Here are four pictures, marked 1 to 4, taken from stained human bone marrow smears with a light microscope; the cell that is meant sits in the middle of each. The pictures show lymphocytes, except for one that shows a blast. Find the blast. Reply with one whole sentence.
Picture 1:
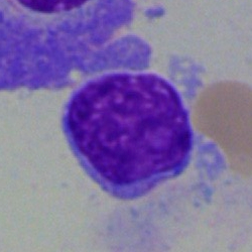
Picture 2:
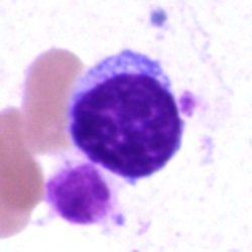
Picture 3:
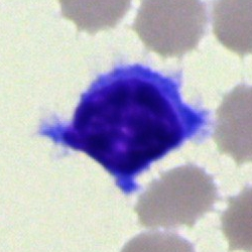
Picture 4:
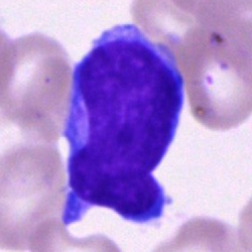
Picture 4 is the one that shows the blast.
